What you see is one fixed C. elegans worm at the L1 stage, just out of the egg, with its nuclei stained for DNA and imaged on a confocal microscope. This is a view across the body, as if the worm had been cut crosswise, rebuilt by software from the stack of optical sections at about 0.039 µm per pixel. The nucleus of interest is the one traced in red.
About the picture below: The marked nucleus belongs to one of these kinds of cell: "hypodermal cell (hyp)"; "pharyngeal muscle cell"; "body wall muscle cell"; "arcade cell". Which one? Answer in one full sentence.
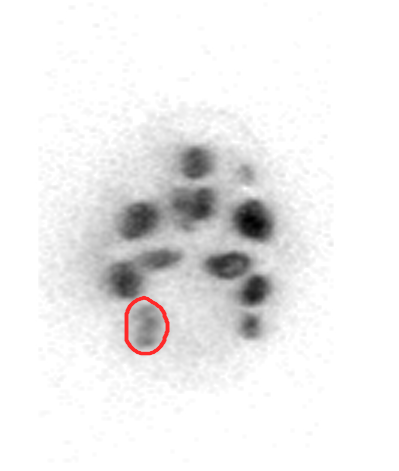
The cell with the marked nucleus is a body wall muscle cell.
